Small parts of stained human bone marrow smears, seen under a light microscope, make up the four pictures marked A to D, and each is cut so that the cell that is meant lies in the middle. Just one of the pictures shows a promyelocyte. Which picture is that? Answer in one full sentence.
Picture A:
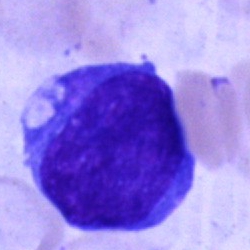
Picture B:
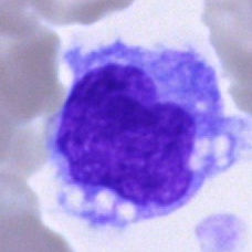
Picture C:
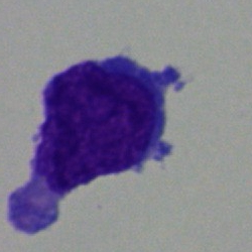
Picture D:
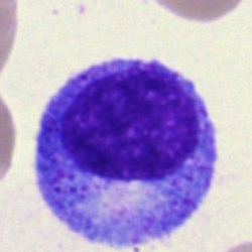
Picture D is the one that shows the promyelocyte.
